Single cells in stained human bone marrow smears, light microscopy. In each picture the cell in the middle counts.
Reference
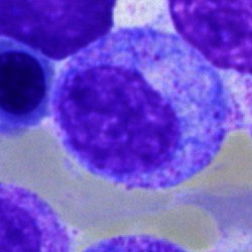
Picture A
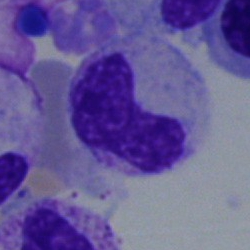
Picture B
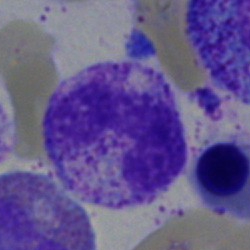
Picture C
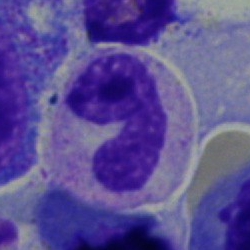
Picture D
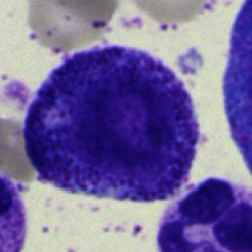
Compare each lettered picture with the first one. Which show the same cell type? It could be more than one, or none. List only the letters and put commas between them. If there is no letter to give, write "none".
D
